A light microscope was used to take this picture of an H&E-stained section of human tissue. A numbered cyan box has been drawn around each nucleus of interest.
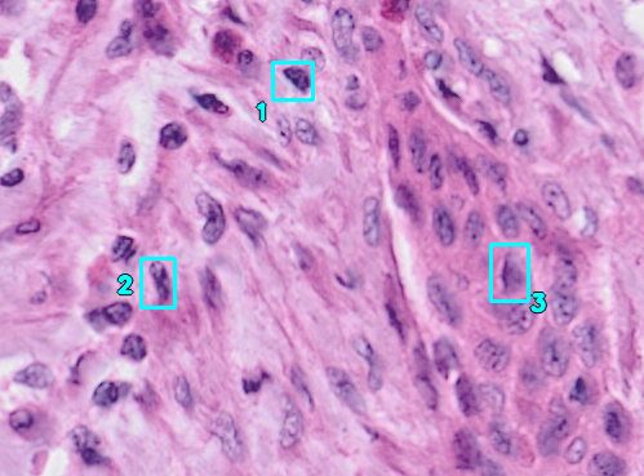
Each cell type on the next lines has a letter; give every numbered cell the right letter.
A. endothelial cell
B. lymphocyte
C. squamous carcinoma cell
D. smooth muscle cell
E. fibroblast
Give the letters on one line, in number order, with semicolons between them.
B; B; C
